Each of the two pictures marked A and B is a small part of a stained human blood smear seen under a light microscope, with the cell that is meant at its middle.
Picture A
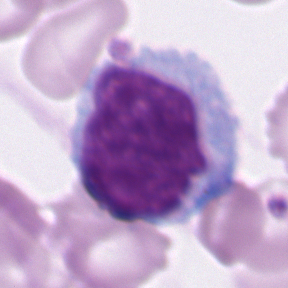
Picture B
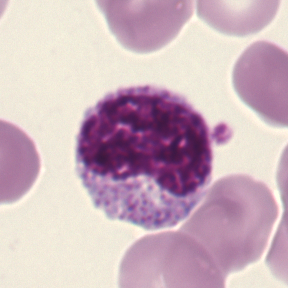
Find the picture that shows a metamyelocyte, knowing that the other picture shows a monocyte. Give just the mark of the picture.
B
